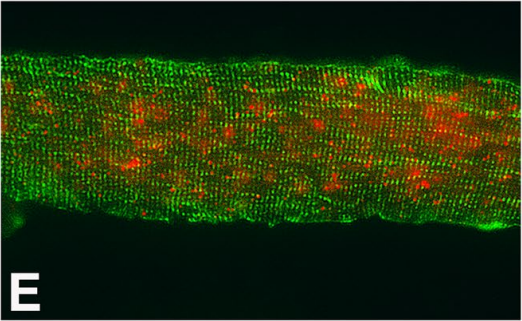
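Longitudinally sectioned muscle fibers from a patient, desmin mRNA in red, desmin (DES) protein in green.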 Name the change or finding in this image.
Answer: More irregular distribution.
